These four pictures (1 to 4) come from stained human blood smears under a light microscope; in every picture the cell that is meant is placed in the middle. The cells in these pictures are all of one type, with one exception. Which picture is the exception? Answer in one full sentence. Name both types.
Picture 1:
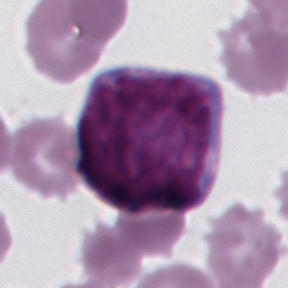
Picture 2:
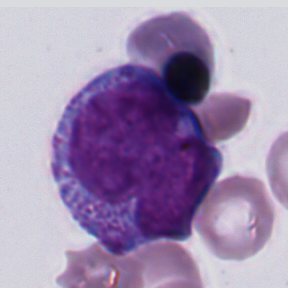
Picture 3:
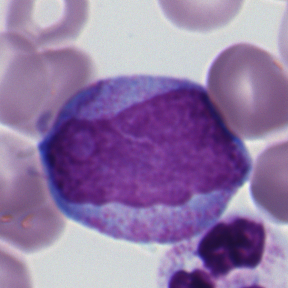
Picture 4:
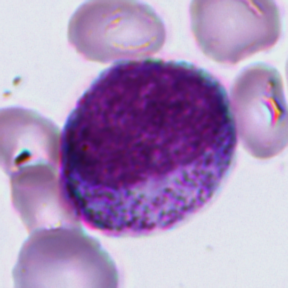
Picture 1 is the odd one out: it shows a myeloblast, while the others show promyelocytes.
